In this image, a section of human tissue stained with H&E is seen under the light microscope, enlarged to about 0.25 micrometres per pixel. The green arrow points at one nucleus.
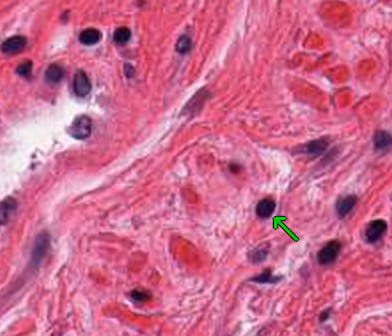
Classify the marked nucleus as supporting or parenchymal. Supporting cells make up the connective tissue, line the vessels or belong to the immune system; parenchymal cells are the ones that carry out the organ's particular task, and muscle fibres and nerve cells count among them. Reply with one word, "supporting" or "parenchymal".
supporting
